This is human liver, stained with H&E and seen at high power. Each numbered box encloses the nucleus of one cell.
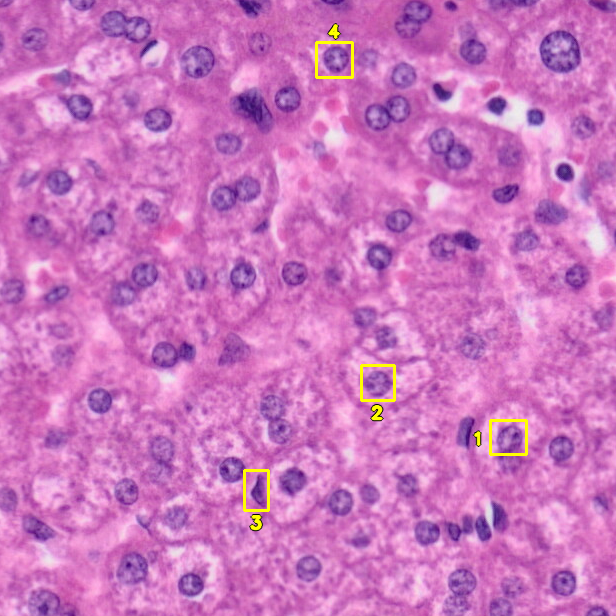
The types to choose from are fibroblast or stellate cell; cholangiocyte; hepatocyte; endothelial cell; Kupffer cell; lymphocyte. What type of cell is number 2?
hepatocyte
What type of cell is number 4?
hepatocyte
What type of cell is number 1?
hepatocyte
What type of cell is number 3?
endothelial cell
